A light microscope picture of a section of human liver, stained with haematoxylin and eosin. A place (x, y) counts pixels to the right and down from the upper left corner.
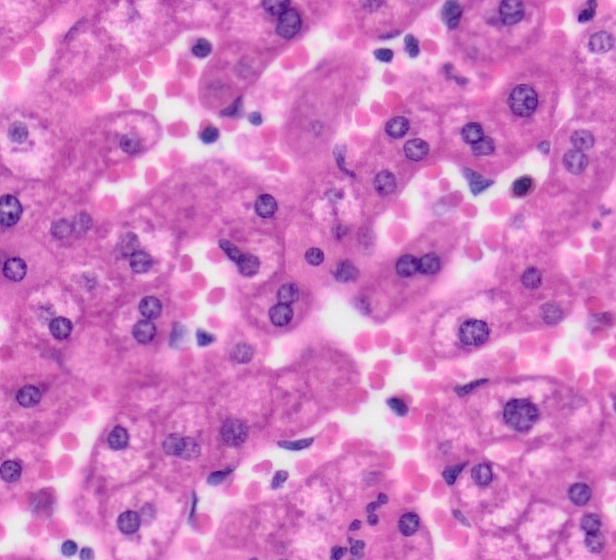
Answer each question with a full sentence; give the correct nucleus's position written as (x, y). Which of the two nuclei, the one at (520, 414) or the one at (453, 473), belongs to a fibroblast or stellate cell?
Of the two options, the nucleus at (453, 473) is the one that belongs to a fibroblast or stellate cell.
